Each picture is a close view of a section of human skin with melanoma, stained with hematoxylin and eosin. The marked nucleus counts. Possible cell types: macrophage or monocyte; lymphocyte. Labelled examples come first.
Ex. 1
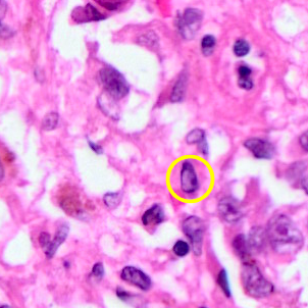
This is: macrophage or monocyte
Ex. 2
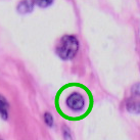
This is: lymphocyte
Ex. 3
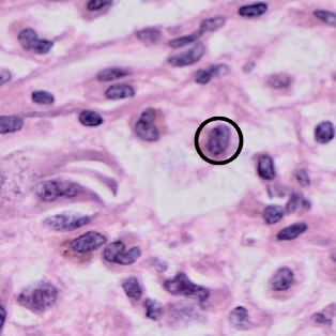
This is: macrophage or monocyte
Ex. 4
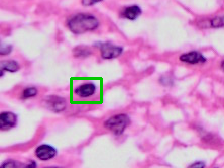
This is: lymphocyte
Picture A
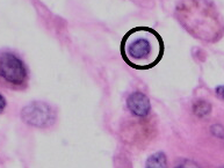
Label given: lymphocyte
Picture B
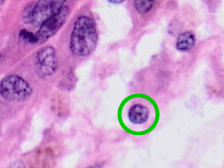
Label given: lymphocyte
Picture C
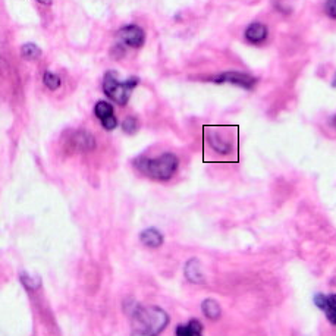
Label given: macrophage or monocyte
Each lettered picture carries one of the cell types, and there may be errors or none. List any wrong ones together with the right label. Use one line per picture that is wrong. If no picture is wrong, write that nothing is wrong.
No label is wrong.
